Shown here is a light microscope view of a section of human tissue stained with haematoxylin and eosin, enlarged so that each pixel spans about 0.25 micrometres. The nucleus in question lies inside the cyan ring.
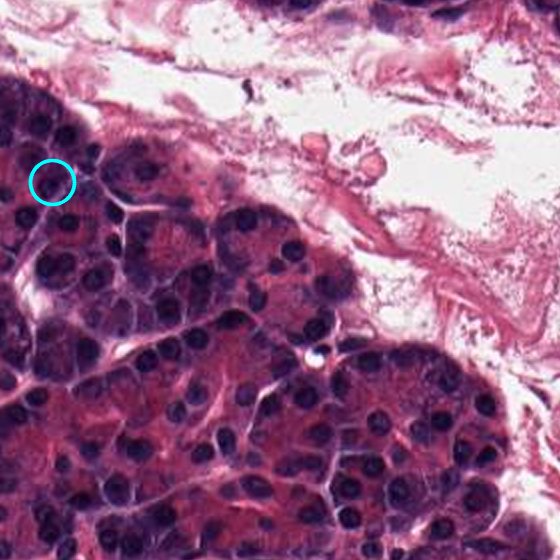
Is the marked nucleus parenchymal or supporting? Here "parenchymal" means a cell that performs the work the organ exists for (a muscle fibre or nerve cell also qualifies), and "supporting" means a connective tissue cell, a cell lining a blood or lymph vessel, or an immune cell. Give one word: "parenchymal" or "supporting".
parenchymal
